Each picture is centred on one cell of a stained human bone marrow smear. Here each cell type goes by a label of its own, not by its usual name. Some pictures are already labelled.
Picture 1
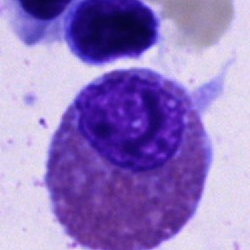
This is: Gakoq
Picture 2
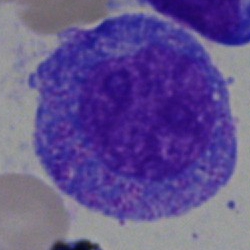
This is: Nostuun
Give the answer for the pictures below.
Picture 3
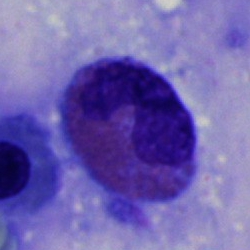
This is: Gakoq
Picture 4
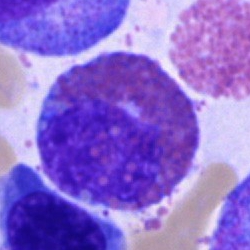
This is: Gakoq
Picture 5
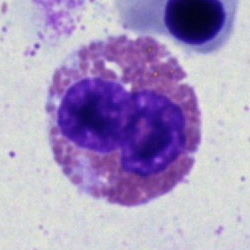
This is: Gakoq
